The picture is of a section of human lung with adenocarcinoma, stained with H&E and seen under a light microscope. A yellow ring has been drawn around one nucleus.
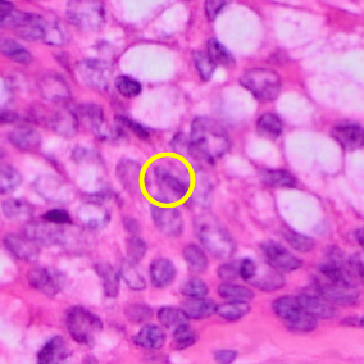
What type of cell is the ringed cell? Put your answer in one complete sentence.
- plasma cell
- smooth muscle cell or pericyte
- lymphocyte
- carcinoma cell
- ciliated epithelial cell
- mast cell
It is as a ciliated epithelial cell that the ringed cell is recorded.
